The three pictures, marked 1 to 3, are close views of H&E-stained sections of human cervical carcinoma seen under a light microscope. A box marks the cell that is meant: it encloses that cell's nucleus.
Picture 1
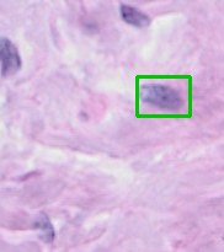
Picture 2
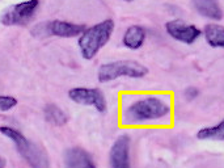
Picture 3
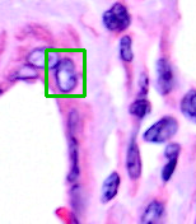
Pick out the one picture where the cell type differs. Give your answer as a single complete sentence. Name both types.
The different one is picture 3; it shows an endothelial cell, whereas all the others show fibroblasts.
